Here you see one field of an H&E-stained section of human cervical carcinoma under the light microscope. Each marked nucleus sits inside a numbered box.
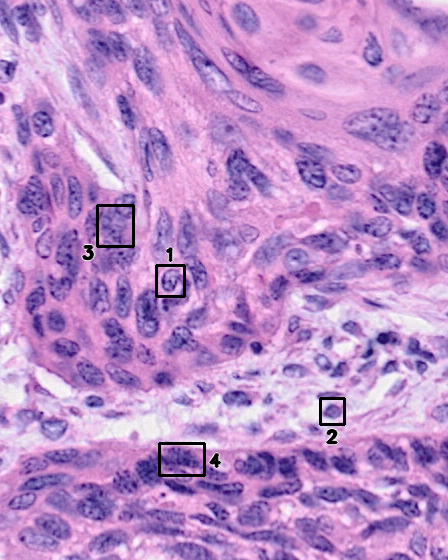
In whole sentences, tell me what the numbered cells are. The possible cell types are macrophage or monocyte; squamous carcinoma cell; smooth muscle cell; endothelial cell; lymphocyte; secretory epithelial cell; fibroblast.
Cells 1, 3 and 4 are squamous carcinoma cells. Cell 2 is a fibroblast.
